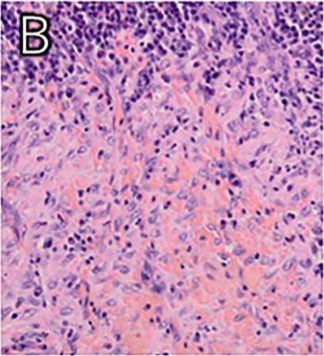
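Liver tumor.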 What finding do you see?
Inflammatory cell infiltration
